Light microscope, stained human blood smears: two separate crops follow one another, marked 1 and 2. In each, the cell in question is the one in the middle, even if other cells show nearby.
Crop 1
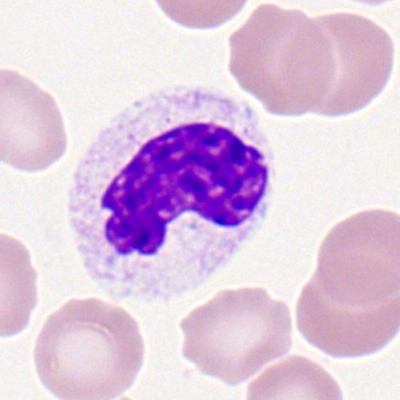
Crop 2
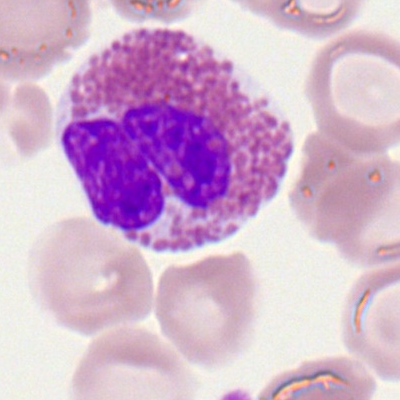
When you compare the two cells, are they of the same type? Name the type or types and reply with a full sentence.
No, just to correct that: crop 1 shows a band neutrophil, crop 2 shows an eosinophil.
